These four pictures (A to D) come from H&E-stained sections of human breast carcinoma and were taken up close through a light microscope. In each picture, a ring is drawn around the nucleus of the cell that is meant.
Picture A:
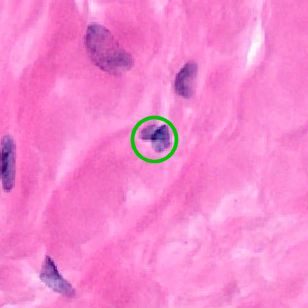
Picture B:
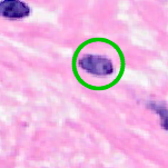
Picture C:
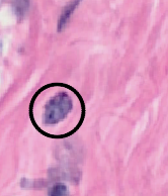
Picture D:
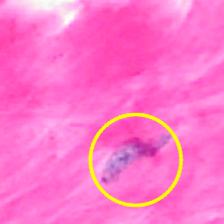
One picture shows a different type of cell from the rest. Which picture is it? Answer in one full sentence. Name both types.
Picture D differs, because its cell is a fibroblast and the rest are lymphocytes.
